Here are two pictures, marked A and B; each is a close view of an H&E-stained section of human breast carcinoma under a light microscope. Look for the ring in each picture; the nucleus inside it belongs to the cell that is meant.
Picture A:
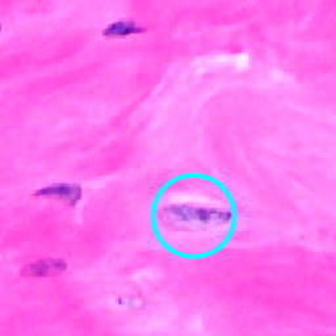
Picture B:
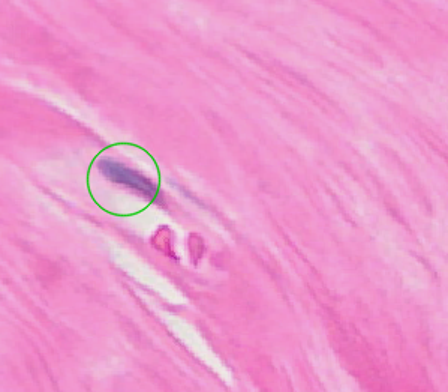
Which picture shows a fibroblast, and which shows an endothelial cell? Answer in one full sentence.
In picture A the cell is a fibroblast; in picture B, an endothelial cell.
